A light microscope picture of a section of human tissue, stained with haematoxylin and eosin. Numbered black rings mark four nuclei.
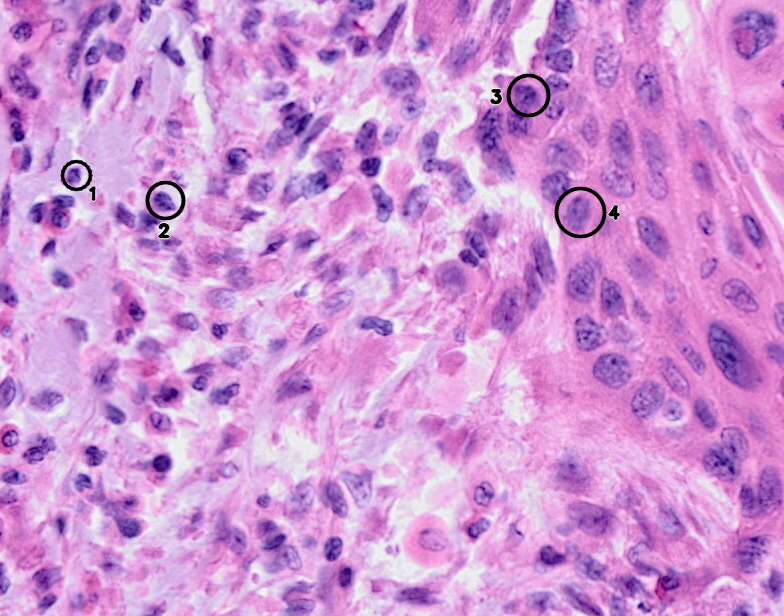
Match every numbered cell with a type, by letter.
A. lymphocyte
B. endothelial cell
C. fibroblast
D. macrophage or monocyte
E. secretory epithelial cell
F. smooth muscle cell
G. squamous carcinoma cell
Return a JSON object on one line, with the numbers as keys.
{"1": "A", "2": "A", "3": "G", "4": "G"}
